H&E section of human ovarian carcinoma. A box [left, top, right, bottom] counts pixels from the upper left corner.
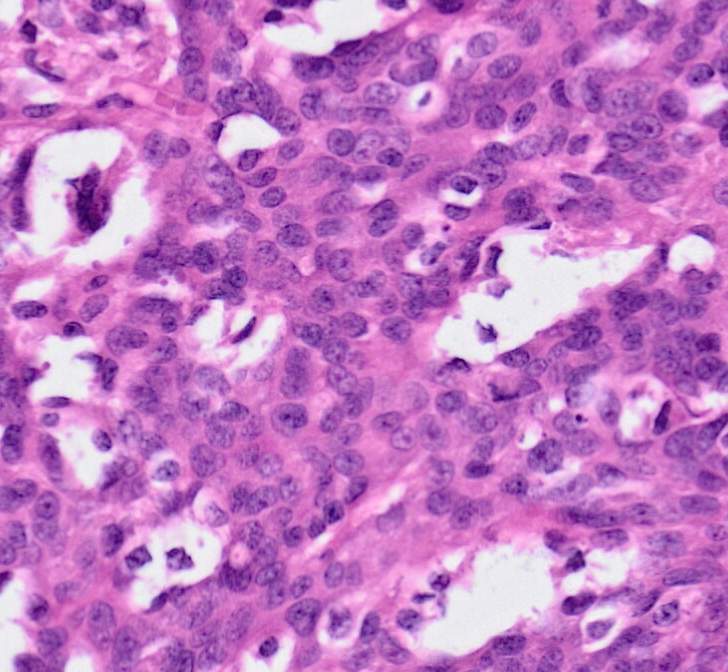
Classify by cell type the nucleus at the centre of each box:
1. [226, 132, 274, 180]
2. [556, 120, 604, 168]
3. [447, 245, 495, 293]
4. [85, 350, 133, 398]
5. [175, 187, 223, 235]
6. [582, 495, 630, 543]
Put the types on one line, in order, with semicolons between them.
macrophage or monocyte; macrophage or monocyte; carcinoma cell; macrophage or monocyte; carcinoma cell; carcinoma cell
